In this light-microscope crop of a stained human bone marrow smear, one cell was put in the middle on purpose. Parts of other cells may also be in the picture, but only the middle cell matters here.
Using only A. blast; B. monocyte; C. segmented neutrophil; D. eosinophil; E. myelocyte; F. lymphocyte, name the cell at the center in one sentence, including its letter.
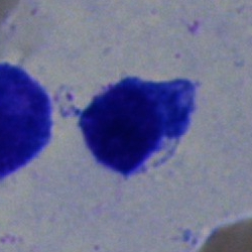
The central cell, a lymphocyte, is correctly identified by option F.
